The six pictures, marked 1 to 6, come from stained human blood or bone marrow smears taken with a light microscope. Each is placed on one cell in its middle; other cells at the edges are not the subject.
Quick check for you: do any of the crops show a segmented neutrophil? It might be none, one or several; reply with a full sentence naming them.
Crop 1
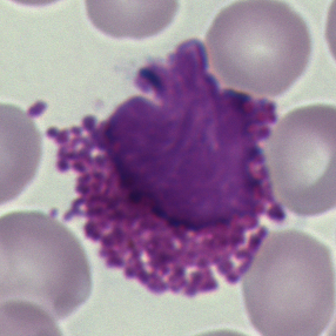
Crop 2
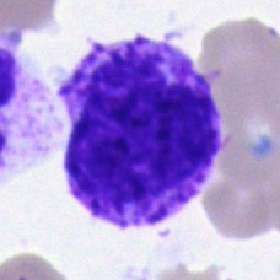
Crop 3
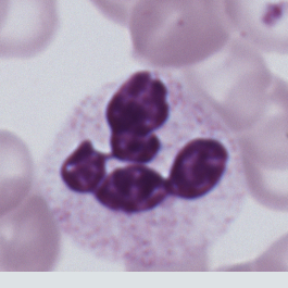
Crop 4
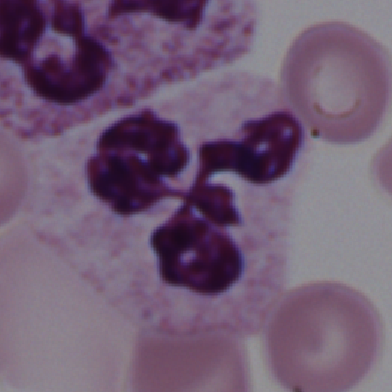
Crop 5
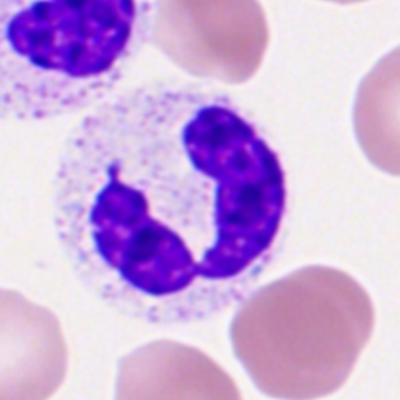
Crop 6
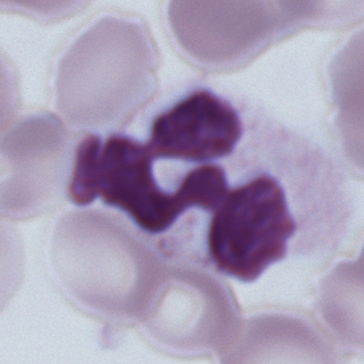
Depicted at the centre of crops 3, 4, 5 and 6 are segmented neutrophils.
